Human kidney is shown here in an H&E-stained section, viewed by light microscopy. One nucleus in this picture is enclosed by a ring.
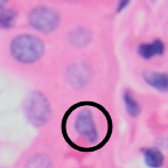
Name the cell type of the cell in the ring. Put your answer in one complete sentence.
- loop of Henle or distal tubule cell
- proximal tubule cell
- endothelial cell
Assigned to a cell type, the cell in the ring is an endothelial cell.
